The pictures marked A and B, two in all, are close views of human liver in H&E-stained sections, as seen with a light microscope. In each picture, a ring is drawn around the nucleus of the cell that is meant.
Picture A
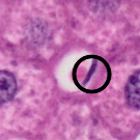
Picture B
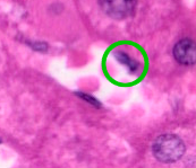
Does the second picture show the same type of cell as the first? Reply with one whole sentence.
Yes; the cells in both pictures are endothelial cells.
